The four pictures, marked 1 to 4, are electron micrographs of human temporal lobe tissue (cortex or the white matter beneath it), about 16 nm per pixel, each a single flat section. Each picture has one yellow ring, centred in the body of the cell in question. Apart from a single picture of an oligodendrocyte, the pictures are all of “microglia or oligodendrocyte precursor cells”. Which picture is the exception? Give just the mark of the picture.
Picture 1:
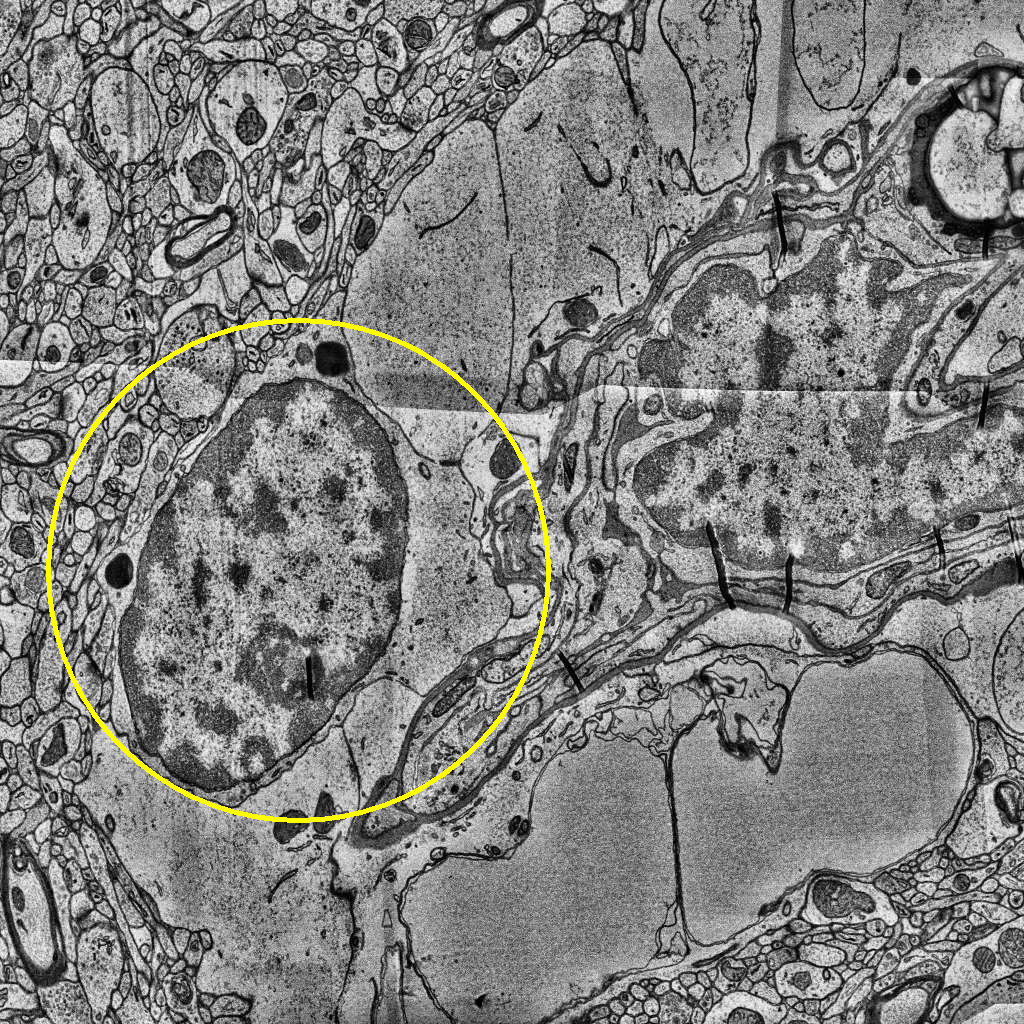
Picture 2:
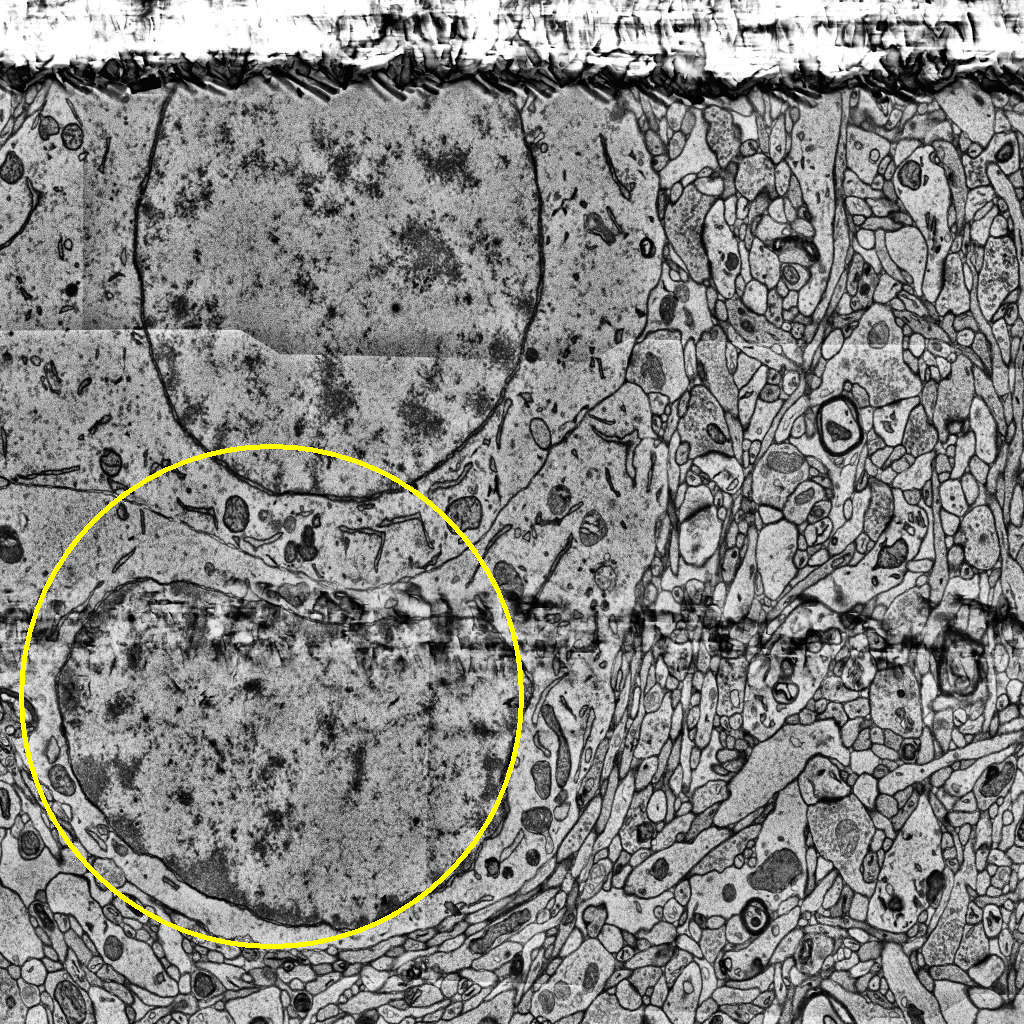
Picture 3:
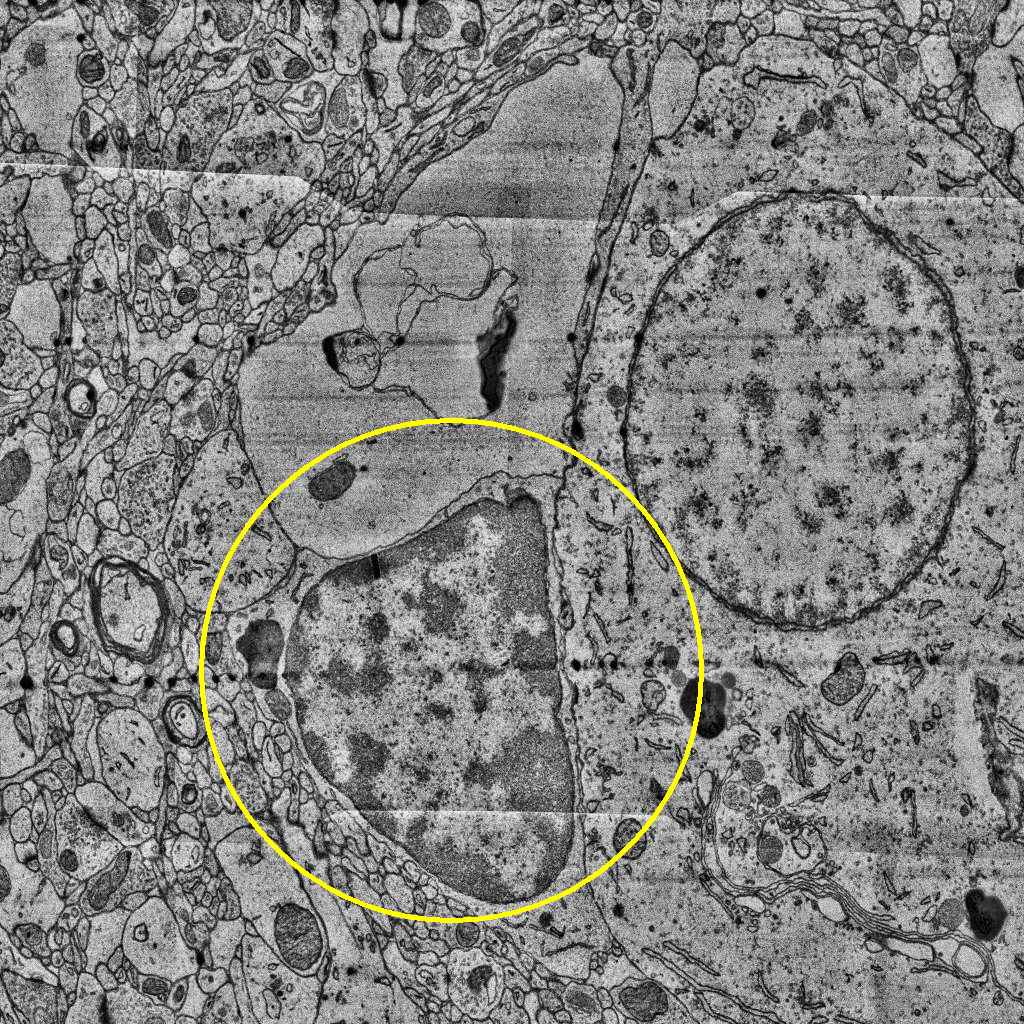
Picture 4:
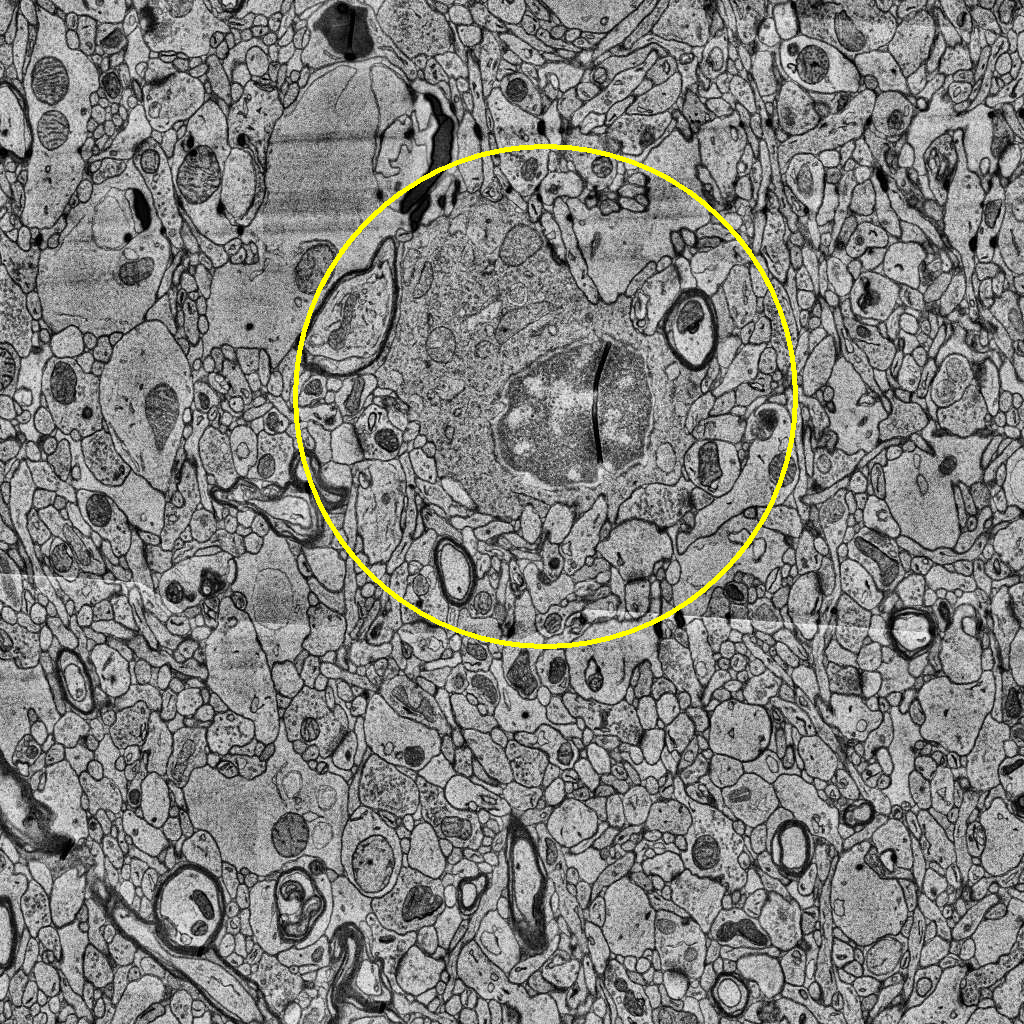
4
